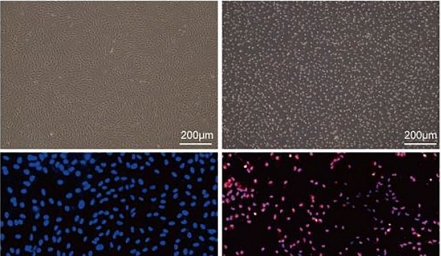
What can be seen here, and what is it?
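This block shows cultured cells, with bright-field views above and fluorescence views below, comparing two dishes side by side. On the right in bright field, the layer is gone: only scattered, small, rounded, refractile bodies remain on the dish. In the fluorescence view on the left, the nuclei are blue, oval and fairly uniform, and they are spread evenly across the field. In the fluorescence view on the right, most nuclei are small and rounded and carry a pink to red signal over the blue, and they lie irregularly grouped.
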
